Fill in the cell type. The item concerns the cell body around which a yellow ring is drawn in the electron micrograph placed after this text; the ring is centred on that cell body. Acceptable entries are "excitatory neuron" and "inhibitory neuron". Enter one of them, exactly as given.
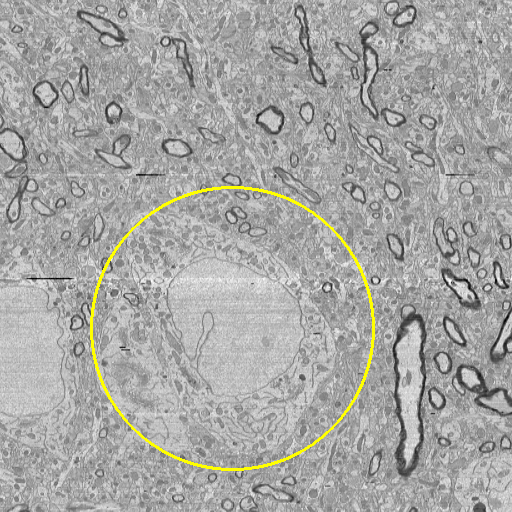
inhibitory neuron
